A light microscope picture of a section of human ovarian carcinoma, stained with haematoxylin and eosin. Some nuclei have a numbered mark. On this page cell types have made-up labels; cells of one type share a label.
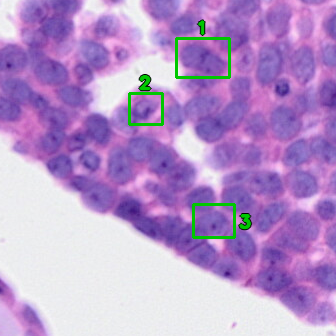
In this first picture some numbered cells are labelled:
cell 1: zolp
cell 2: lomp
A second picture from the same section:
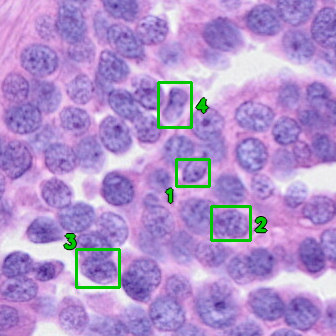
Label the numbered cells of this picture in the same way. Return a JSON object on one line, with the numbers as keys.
{"1": "lomp", "2": "zolp", "3": "zolp", "4": "lomp"}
